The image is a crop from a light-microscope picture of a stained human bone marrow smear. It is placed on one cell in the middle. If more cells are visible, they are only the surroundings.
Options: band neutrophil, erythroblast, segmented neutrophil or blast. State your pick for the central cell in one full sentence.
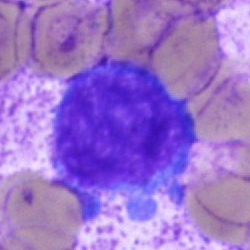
Where the crop is centred, there is a blast.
